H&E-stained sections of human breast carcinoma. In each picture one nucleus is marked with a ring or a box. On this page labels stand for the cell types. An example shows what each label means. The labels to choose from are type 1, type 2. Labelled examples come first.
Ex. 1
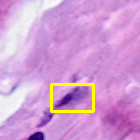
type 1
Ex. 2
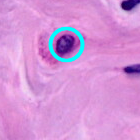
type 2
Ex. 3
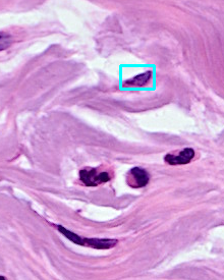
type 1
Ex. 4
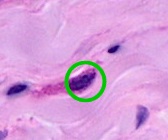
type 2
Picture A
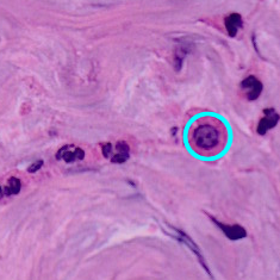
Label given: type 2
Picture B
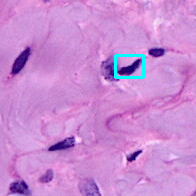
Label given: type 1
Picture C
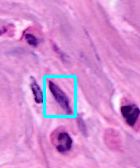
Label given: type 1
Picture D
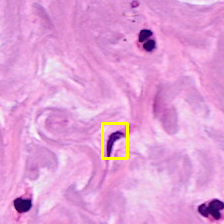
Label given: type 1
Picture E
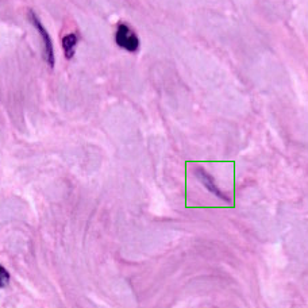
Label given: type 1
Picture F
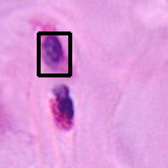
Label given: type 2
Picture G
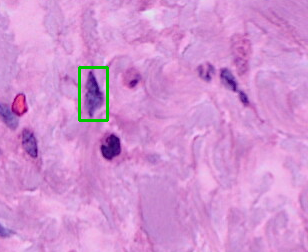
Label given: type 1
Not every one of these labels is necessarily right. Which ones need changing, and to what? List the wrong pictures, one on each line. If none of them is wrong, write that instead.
Every label is right.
